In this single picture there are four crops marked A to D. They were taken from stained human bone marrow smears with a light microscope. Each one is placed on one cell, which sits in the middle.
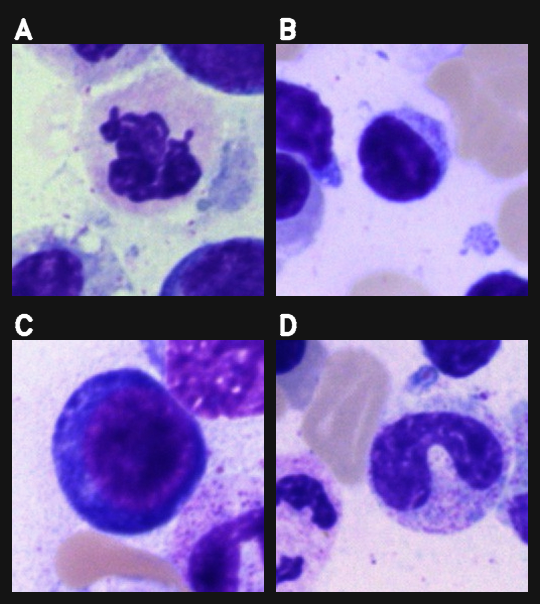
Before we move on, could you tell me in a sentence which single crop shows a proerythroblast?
The crop showing a proerythroblast in this series is crop C.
